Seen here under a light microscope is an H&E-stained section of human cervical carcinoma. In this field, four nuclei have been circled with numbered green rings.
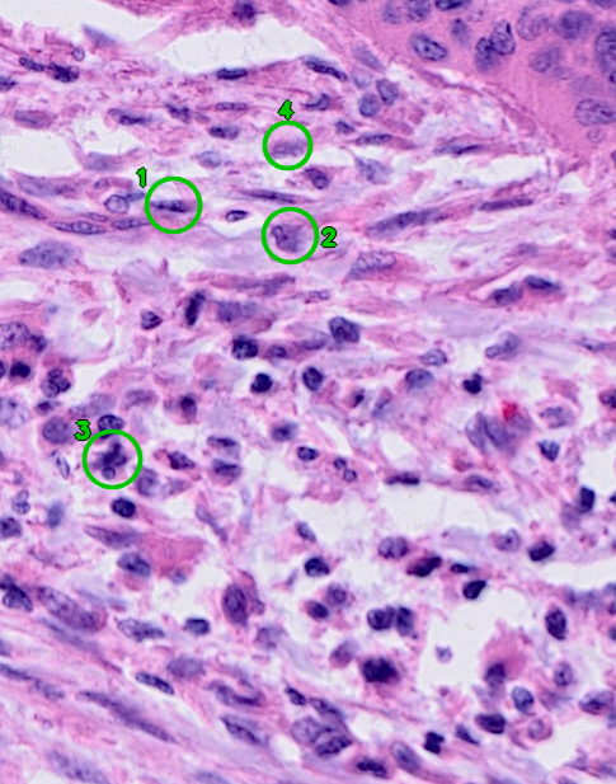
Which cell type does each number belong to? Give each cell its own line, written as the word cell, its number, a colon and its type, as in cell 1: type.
cell 1: fibroblast
cell 2: fibroblast
cell 3: lymphocyte
cell 4: fibroblast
